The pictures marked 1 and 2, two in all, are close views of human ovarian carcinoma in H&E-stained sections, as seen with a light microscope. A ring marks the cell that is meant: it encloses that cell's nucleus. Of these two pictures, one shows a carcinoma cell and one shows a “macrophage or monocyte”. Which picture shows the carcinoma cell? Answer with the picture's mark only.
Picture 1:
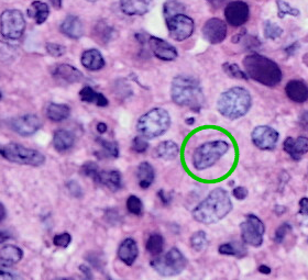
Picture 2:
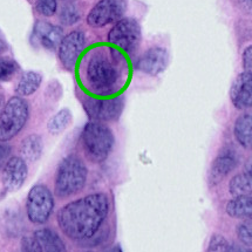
2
